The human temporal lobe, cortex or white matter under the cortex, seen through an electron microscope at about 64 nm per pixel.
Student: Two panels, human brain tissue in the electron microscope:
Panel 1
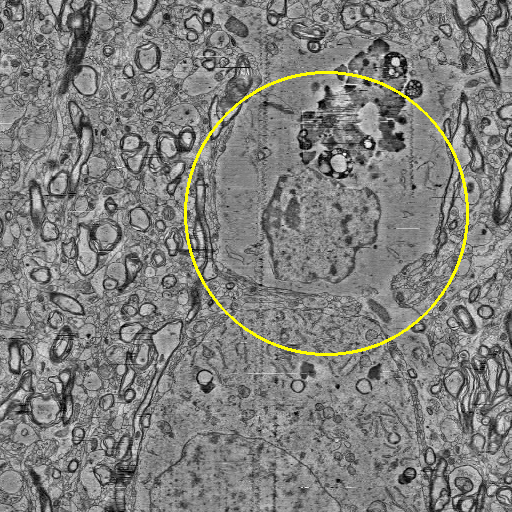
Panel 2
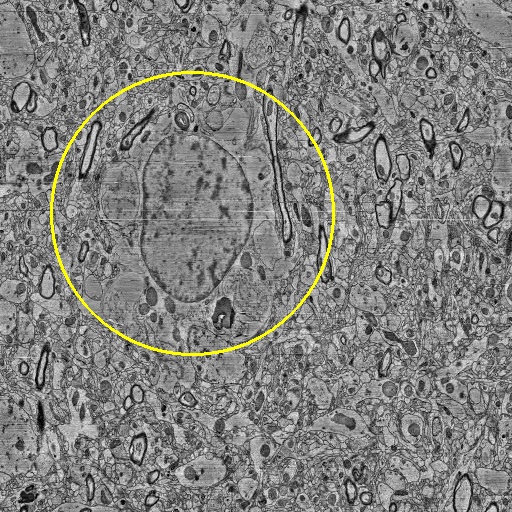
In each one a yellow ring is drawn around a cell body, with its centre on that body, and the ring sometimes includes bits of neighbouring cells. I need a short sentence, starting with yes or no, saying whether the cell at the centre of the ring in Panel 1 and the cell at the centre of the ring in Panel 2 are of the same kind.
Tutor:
Yes, they are the same kind of cell.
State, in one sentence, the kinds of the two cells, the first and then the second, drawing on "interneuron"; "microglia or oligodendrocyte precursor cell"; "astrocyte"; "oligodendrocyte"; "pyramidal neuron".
Both rings mark an astrocyte, one in each picture.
